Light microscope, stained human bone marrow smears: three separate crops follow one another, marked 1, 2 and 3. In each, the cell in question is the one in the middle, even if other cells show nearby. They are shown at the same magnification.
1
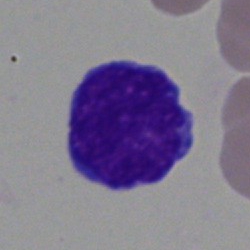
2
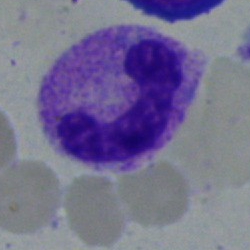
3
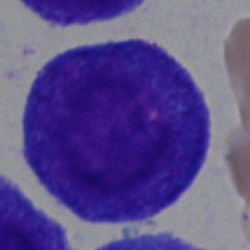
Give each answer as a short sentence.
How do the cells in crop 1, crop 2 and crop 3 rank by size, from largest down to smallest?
From the largest down, the order is 3, 2, 1.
